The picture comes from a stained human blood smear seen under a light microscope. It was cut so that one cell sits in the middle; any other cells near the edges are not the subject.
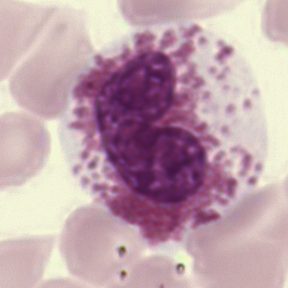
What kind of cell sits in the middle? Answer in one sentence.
The cell centered in this field of view is an eosinophil.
